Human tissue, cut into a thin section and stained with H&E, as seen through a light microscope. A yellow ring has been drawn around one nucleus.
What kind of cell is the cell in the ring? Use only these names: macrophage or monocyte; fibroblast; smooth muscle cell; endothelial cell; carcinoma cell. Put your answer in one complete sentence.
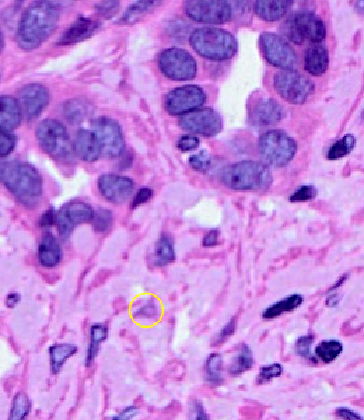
To be brief about it, the cell in the ring is a fibroblast.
